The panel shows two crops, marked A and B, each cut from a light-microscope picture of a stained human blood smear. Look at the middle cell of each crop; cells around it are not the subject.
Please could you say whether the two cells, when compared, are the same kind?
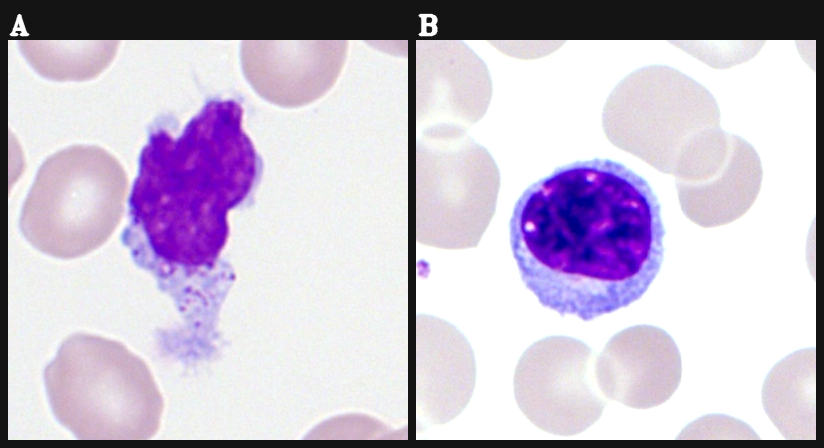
yes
